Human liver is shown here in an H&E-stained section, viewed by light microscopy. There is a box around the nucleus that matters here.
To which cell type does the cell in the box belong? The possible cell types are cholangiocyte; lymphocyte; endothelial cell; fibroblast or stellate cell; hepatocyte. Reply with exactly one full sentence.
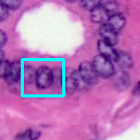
In this preparation, the cell in the box is a cholangiocyte.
